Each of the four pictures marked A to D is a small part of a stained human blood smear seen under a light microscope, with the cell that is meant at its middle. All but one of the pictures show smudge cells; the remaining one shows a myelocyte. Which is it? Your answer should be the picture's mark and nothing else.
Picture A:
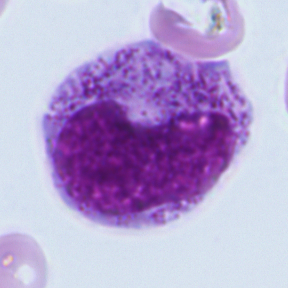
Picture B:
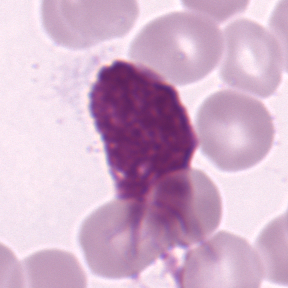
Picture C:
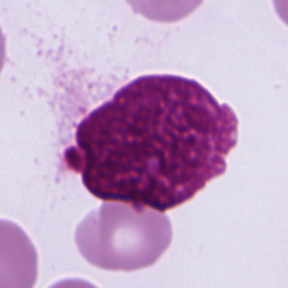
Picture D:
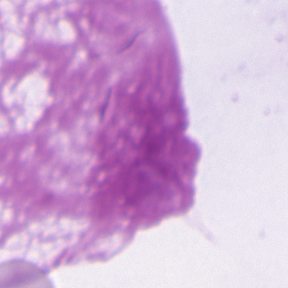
A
